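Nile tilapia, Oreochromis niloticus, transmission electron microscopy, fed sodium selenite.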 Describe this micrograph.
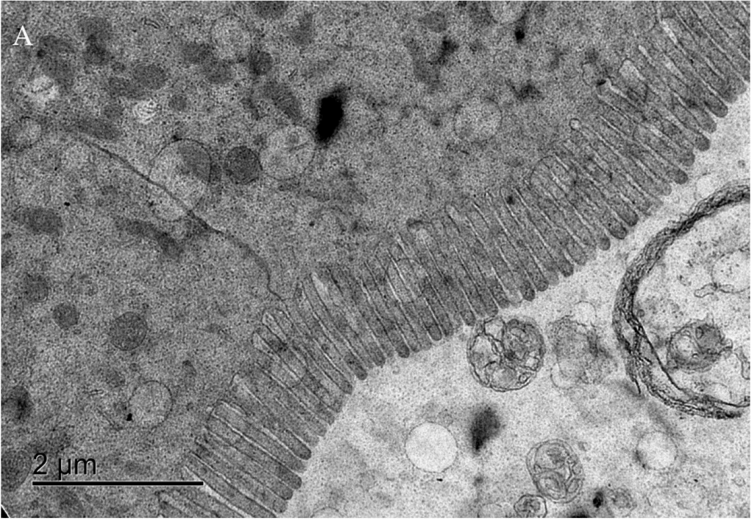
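The free surface of an absorptive cell carries a dense brush of slender, parallel, finger-like projections, the microvilli. They are closely packed and of fairly even length, and they point into a pale lumen. A thin line crossing the cytoplasm marks the boundary between neighbouring cells. The lumen contains membranous debris, including rounded whorled profiles and a large layered ring.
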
